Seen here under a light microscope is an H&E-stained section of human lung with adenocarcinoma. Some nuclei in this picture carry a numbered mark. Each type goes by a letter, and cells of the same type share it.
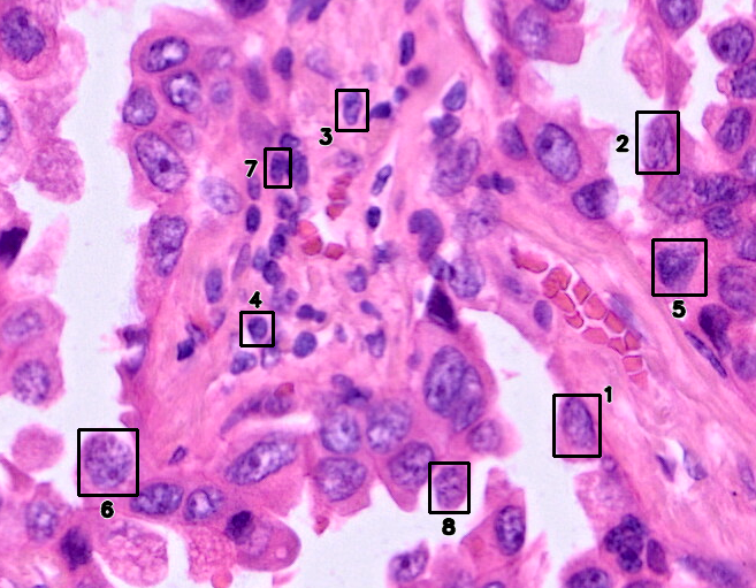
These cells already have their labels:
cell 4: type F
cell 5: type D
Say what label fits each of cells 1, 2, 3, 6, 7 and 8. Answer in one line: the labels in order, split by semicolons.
type D; type D; type F; type D; type F; type D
